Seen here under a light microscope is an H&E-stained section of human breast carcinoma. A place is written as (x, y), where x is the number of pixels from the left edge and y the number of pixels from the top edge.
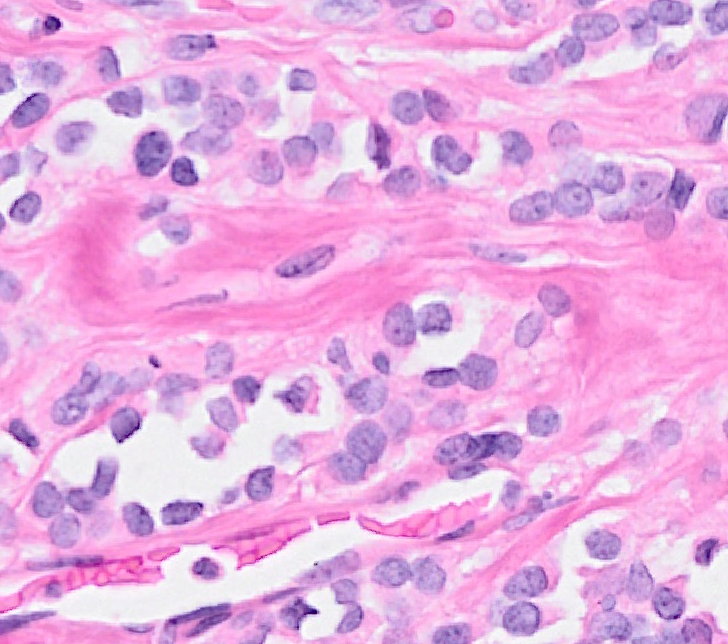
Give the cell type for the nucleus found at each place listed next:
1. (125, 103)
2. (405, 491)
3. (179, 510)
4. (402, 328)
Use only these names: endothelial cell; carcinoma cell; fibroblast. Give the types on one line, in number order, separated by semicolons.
carcinoma cell; endothelial cell; carcinoma cell; carcinoma cell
